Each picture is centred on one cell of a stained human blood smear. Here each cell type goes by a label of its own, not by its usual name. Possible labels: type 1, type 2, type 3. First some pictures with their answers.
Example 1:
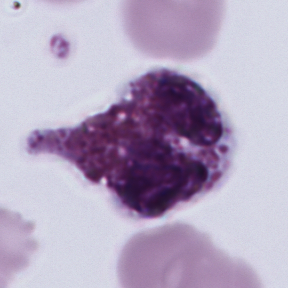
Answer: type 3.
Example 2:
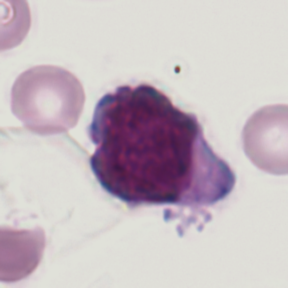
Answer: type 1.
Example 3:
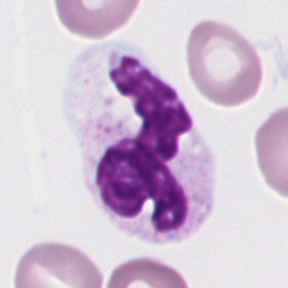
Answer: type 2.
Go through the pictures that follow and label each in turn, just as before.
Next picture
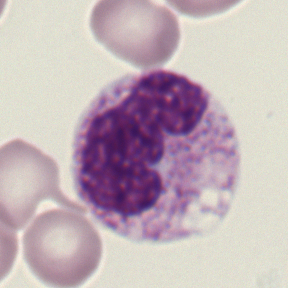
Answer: type 2.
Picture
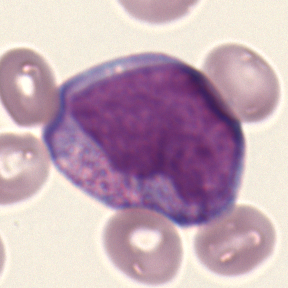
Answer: type 1.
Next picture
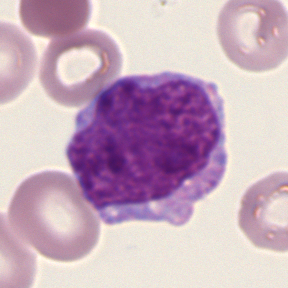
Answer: type 1.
